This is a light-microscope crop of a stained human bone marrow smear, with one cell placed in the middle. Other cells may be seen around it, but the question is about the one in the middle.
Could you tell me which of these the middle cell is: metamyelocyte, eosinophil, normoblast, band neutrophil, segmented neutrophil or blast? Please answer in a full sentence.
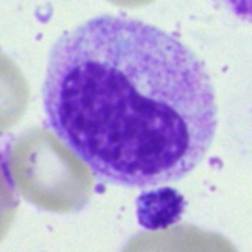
The crop shows a metamyelocyte in its centre.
